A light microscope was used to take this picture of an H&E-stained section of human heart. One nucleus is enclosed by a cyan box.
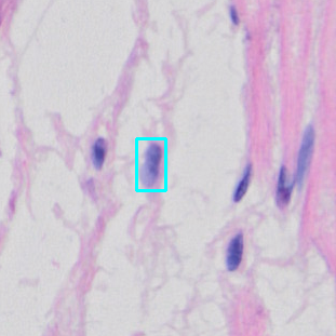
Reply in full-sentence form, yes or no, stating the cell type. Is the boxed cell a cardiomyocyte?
No, just to correct that, the boxed cell is a fibroblast and not a cardiomyocyte.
